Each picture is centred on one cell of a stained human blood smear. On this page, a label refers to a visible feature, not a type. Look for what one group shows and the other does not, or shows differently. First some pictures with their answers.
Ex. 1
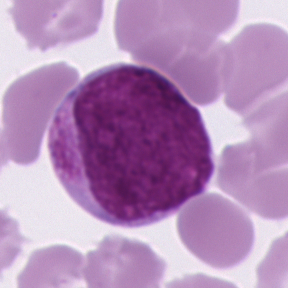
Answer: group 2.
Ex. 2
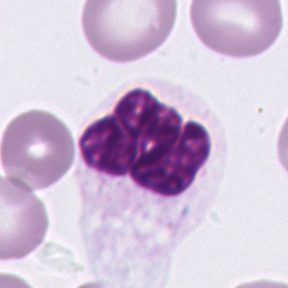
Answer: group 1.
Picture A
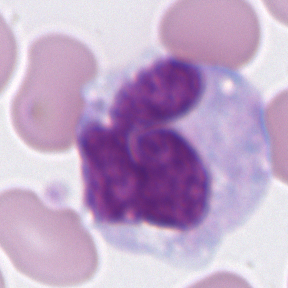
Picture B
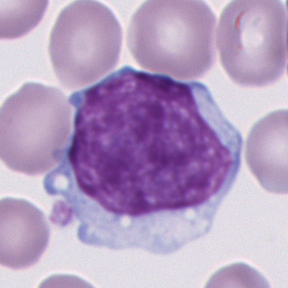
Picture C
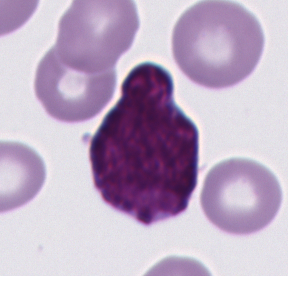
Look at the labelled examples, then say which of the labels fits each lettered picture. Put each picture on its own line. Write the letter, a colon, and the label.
A: group 1.
B: group 1.
C: group 2.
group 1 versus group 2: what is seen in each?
group 1: vacuoles present; group 2: no vacuoles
